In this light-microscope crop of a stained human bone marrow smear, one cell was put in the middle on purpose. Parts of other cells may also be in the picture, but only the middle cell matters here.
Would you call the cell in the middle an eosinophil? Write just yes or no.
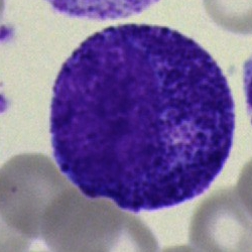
no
